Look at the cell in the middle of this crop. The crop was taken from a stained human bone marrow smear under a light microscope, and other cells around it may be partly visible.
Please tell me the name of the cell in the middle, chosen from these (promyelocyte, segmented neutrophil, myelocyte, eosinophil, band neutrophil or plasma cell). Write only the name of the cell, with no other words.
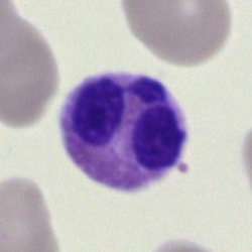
eosinophil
